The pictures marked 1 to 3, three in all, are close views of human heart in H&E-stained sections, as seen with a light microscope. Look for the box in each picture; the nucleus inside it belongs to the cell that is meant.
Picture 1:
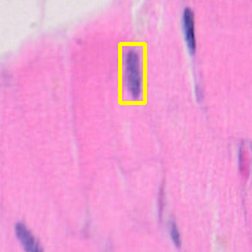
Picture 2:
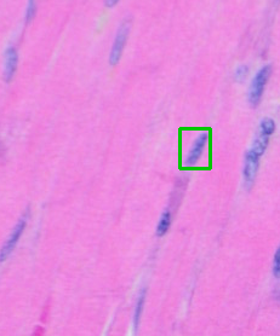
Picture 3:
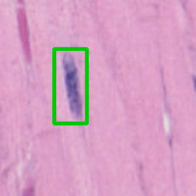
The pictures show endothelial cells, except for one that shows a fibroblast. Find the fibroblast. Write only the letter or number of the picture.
2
